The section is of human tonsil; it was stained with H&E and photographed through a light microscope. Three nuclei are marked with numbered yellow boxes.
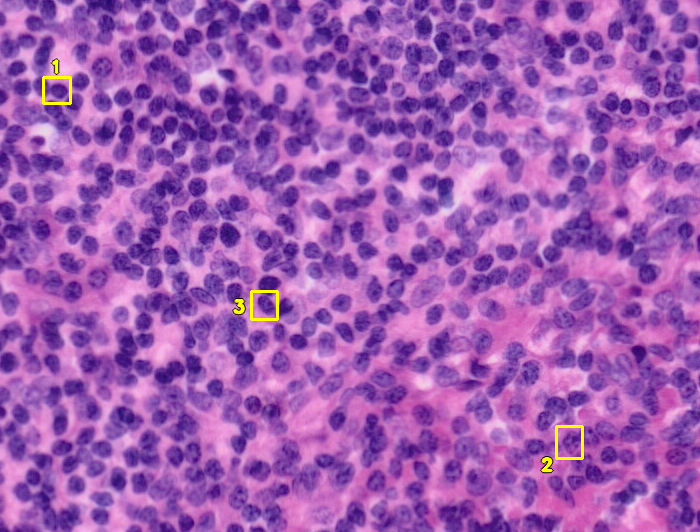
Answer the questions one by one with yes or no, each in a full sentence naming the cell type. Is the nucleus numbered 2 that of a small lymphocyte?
No, the cell at number 2 is a plasma cell instead of a small lymphocyte.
